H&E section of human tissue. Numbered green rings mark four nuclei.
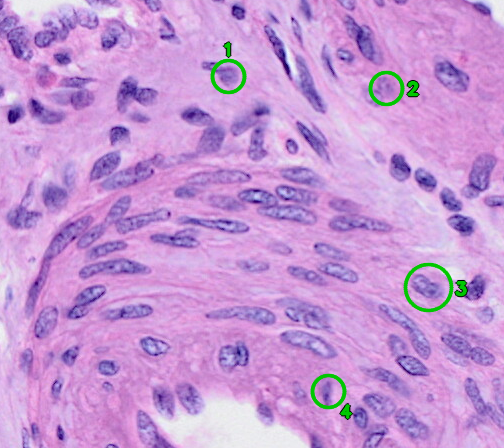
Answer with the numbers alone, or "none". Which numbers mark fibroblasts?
1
